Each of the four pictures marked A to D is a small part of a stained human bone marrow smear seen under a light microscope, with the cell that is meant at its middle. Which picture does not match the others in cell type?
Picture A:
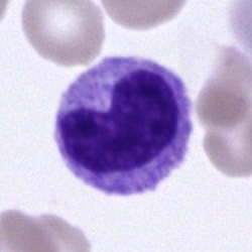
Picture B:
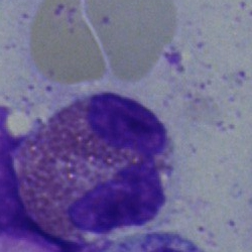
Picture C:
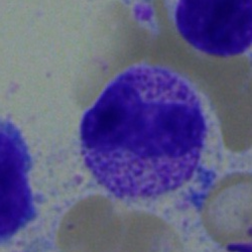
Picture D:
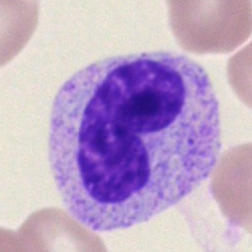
B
